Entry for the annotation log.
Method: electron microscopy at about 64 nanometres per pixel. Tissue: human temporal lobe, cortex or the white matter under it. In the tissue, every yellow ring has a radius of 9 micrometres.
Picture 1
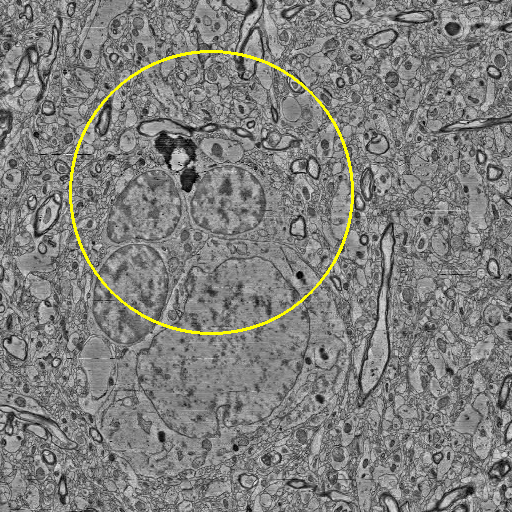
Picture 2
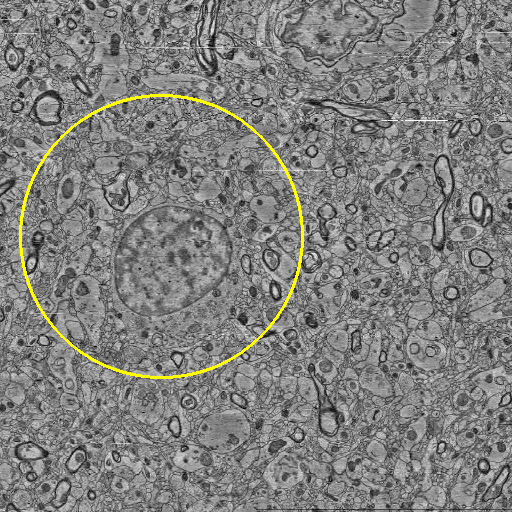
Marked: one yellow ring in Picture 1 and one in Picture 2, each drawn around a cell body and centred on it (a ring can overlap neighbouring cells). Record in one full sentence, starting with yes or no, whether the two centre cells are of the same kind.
Yes, both cells are of the same kind.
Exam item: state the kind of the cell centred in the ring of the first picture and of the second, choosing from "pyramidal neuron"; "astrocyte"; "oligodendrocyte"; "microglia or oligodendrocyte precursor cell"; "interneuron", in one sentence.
Both pictures show an oligodendrocyte at the centre of the ring.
